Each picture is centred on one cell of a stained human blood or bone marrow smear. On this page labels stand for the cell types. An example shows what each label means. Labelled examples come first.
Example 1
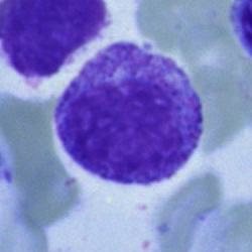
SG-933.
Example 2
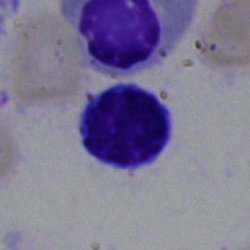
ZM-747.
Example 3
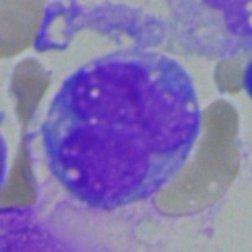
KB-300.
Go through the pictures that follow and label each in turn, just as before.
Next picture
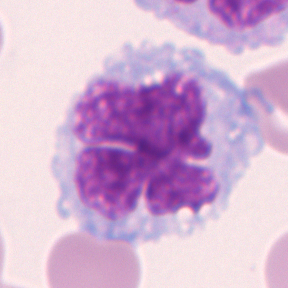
KB-300.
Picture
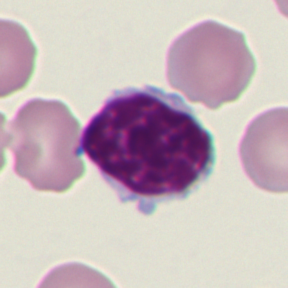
ZM-747.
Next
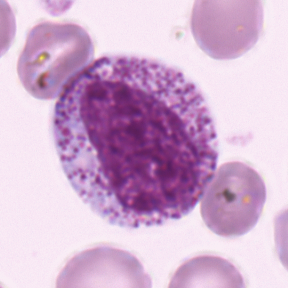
SG-933.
